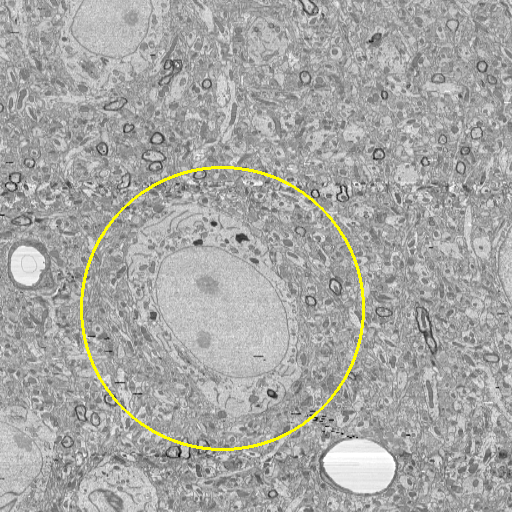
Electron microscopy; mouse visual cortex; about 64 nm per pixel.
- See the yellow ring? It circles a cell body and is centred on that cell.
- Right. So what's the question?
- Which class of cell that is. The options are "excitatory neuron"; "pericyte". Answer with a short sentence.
The centre of the ring holds an excitatory neuron.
